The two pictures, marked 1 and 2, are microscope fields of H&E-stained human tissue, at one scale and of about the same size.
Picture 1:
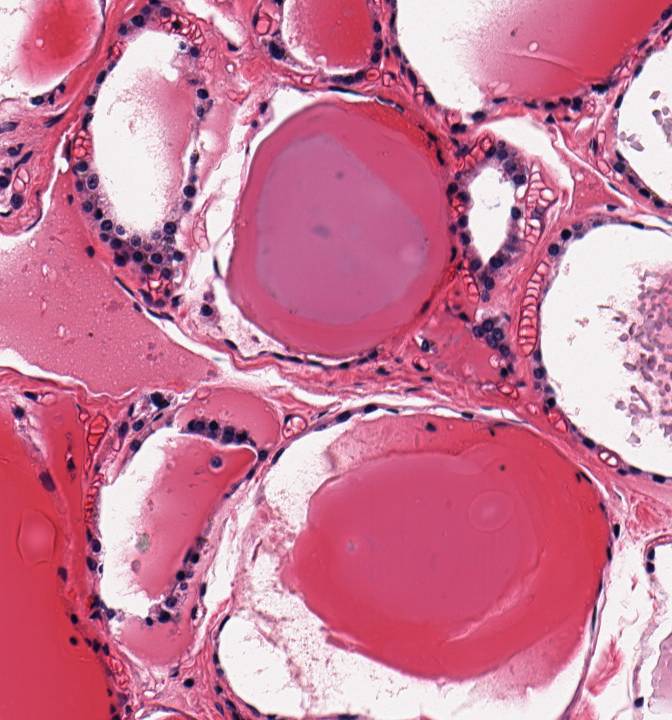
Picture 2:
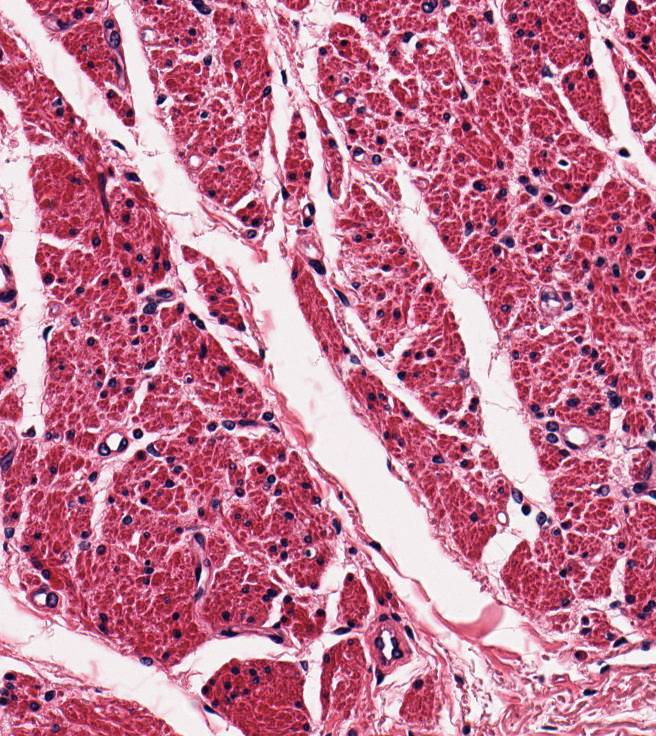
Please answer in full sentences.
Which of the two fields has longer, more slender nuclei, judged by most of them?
On the whole the nuclei of picture 1 are more drawn out than those of picture 2.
